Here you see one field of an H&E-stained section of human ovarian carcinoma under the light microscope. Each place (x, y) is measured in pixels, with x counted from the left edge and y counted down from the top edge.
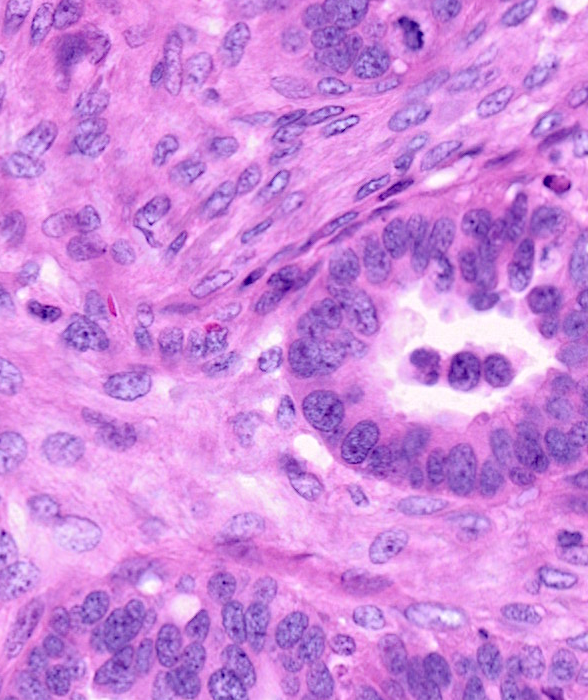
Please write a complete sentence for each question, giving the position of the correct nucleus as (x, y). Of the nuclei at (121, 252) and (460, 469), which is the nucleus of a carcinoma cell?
Which one belongs to a carcinoma cell? The nucleus at (460, 469) does.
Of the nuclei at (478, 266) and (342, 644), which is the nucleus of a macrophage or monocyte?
The nucleus whose position is (342, 644) belongs to a macrophage or monocyte.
